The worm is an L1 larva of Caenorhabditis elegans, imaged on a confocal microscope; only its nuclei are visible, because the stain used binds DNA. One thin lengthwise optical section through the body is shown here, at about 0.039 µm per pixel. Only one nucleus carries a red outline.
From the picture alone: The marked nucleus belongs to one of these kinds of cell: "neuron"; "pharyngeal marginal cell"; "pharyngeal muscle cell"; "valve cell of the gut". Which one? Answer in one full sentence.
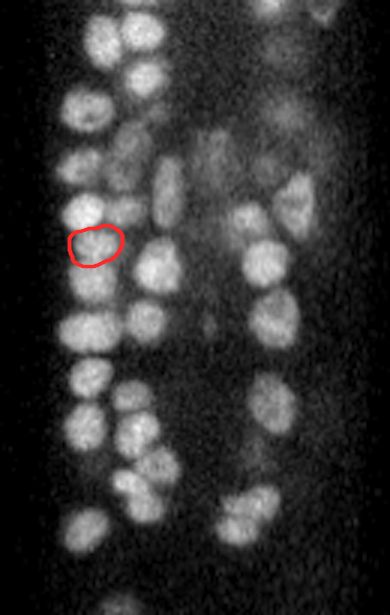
The marked cell is a neuron.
